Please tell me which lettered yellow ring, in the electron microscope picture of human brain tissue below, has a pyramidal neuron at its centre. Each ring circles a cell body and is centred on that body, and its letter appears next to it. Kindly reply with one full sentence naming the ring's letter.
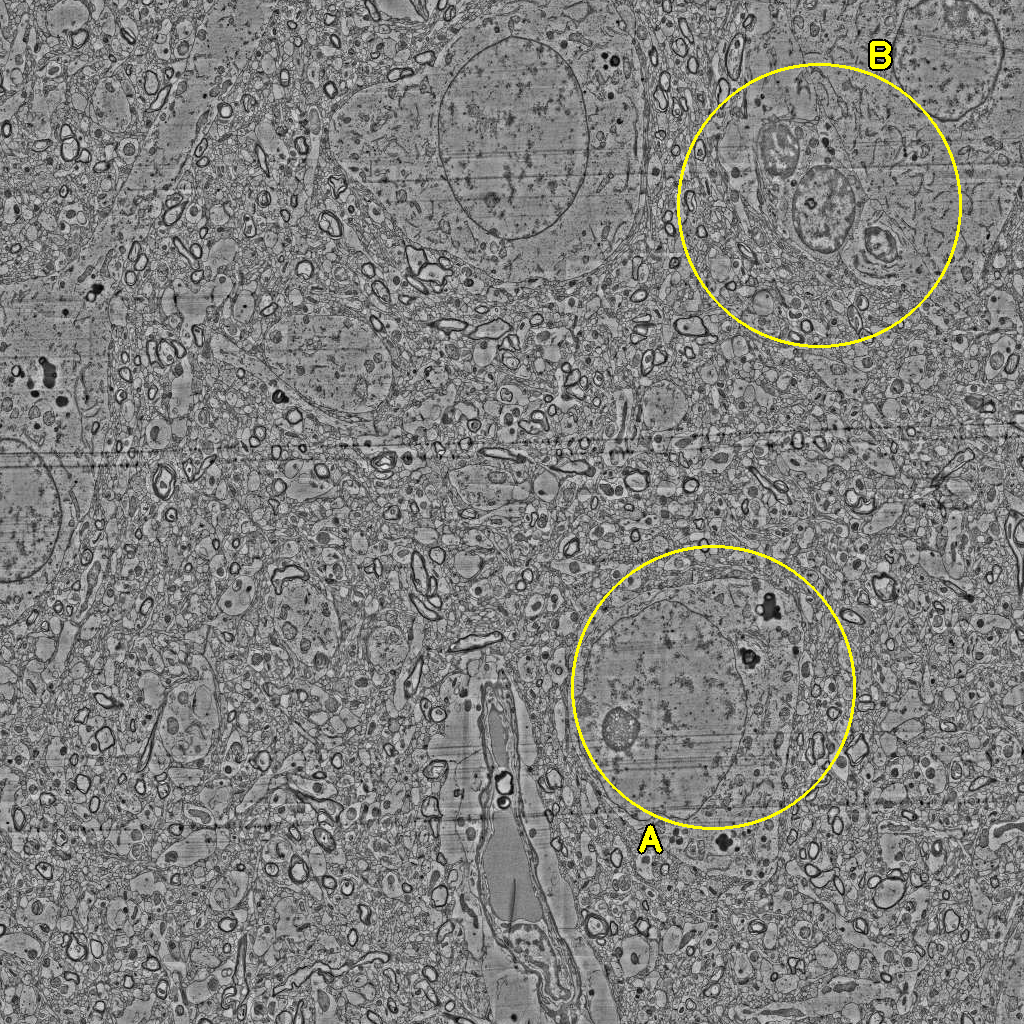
Ring A has the cell asked for at its centre.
